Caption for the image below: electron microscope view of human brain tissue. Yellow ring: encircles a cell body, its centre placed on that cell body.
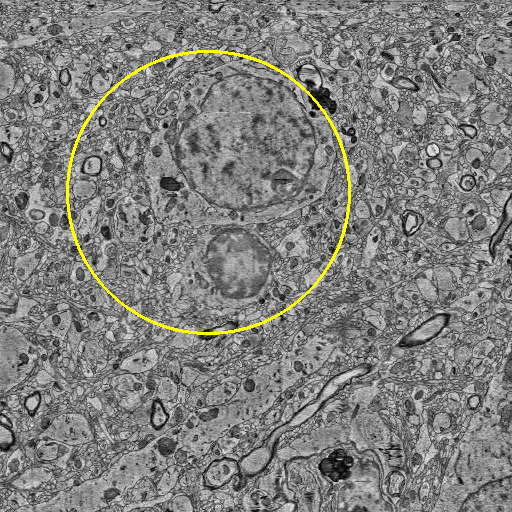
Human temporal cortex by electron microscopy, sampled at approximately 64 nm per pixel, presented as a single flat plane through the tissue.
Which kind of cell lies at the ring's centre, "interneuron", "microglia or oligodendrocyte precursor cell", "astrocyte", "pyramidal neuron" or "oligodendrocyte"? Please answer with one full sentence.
The picture shows an interneuron at the centre of the yellow ring.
